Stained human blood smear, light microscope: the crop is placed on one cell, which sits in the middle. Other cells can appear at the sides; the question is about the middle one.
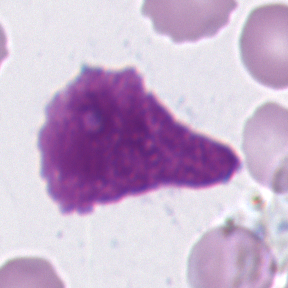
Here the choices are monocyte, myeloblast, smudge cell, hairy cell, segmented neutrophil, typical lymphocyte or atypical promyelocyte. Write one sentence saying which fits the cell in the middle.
As for the cell in the middle, it is a smudge cell.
